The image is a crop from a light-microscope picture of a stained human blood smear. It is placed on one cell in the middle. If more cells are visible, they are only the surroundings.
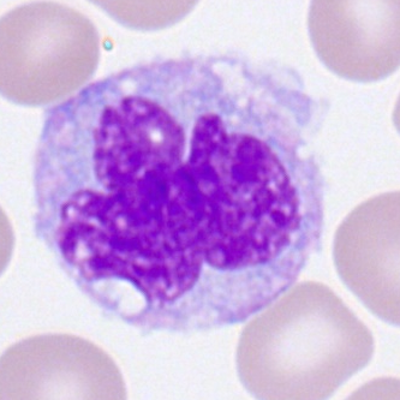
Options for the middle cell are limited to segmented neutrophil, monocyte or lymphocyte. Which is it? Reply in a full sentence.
As for the cell in the middle, it is a monocyte.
